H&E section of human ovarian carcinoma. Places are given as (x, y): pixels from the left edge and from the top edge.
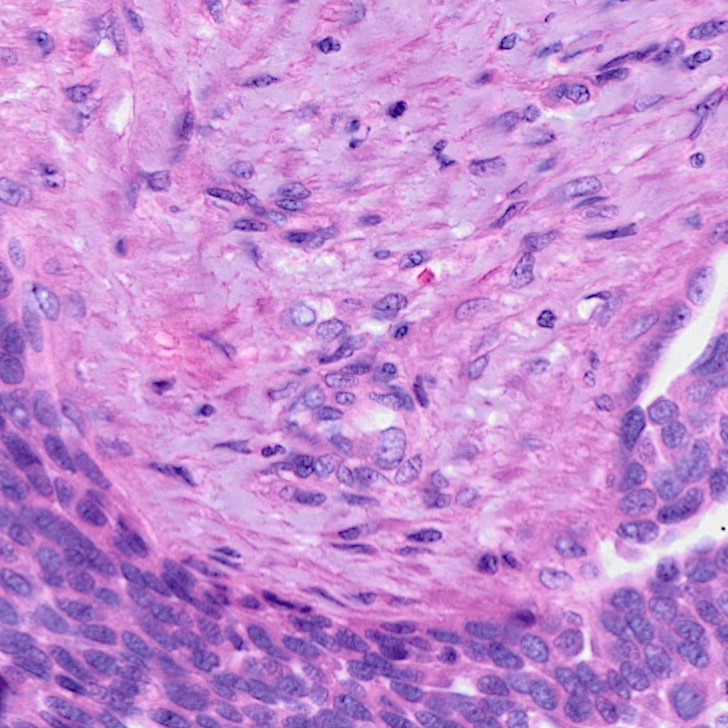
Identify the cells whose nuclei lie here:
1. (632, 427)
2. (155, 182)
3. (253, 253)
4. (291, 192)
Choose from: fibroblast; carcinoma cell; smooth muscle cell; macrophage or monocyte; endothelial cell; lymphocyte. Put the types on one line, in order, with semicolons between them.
carcinoma cell; fibroblast; fibroblast; fibroblast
